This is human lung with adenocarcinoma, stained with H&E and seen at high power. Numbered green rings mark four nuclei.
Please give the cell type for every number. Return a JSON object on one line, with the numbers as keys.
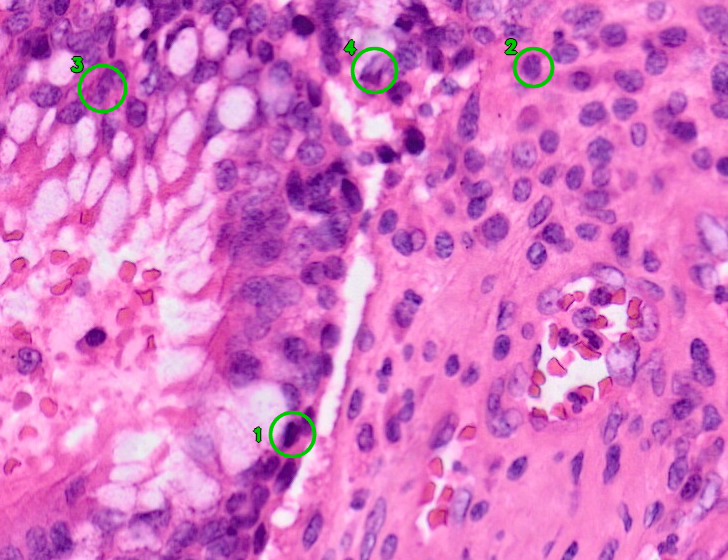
{"1": "ciliated epithelial cell", "2": "plasma cell", "3": "ciliated epithelial cell", "4": "ciliated epithelial cell"}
